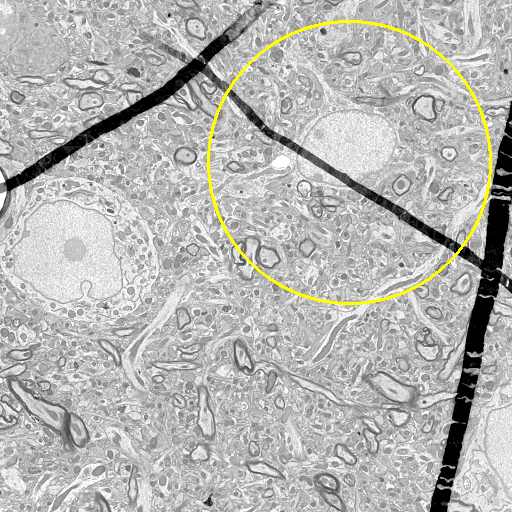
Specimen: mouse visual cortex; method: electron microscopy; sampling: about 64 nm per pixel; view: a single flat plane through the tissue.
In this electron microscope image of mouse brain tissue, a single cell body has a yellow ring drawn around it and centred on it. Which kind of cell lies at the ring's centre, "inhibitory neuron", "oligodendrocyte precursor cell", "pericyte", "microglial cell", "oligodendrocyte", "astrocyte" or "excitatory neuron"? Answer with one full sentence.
It is an astrocyte whose cell body lies at the centre of the yellow ring here.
